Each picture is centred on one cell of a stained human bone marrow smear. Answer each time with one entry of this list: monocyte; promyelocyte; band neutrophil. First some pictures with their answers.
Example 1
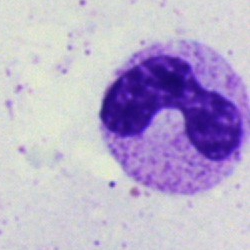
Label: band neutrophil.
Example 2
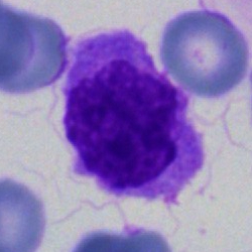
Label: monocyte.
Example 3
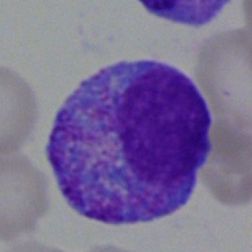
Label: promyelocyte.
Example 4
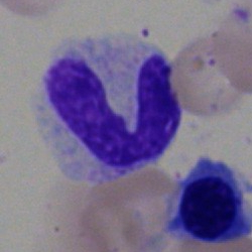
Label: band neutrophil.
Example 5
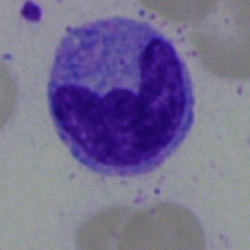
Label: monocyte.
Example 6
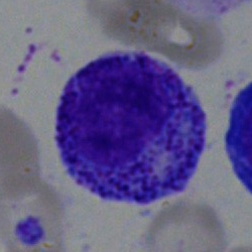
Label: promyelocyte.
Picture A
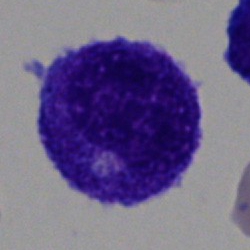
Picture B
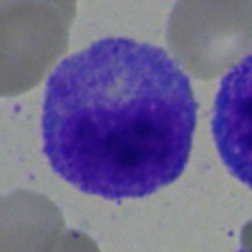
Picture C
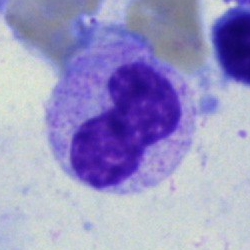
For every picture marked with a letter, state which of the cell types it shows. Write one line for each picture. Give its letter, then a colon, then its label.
A: promyelocyte.
B: promyelocyte.
C: band neutrophil.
